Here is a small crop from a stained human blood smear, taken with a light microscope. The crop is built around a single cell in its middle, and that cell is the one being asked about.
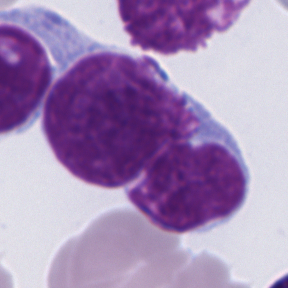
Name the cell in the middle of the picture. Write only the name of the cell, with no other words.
blast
